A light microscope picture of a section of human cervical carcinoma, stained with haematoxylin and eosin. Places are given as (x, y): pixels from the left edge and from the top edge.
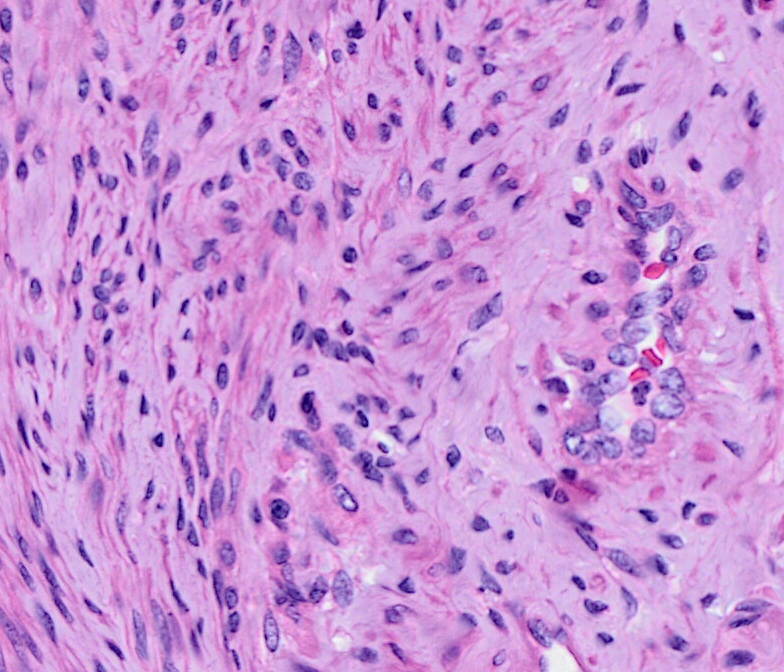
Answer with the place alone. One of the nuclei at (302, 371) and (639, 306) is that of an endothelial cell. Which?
(639, 306)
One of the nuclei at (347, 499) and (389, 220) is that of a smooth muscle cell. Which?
(389, 220)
